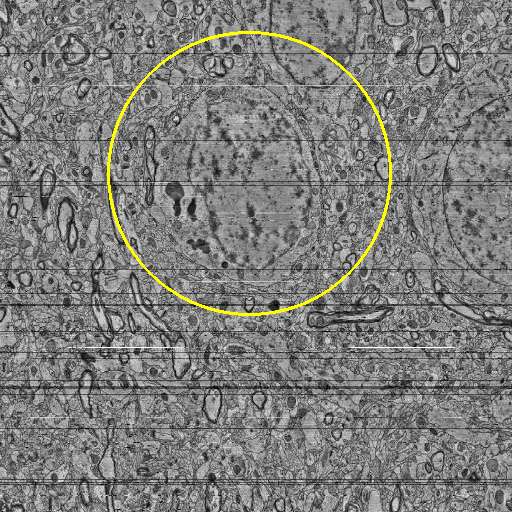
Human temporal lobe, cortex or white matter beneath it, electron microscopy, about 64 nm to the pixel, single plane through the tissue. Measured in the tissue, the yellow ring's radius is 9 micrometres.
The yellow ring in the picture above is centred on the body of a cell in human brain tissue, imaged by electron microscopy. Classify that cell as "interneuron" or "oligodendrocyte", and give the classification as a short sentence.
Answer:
The cell in the middle of the ring is an interneuron.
